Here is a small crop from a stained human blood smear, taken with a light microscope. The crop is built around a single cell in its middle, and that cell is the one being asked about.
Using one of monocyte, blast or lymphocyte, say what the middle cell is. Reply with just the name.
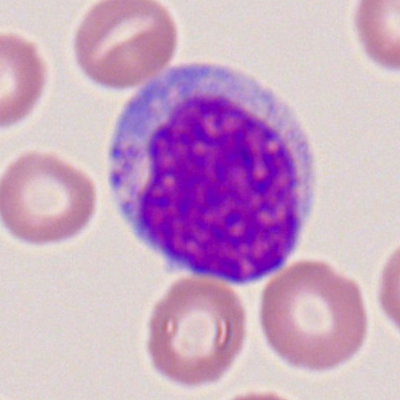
monocyte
